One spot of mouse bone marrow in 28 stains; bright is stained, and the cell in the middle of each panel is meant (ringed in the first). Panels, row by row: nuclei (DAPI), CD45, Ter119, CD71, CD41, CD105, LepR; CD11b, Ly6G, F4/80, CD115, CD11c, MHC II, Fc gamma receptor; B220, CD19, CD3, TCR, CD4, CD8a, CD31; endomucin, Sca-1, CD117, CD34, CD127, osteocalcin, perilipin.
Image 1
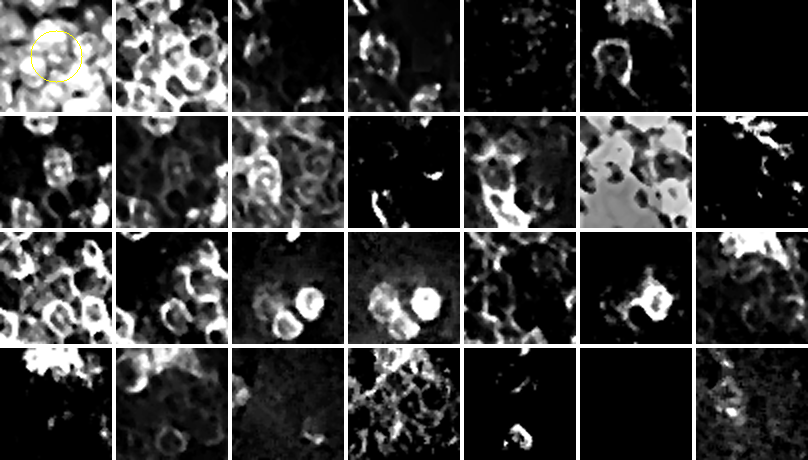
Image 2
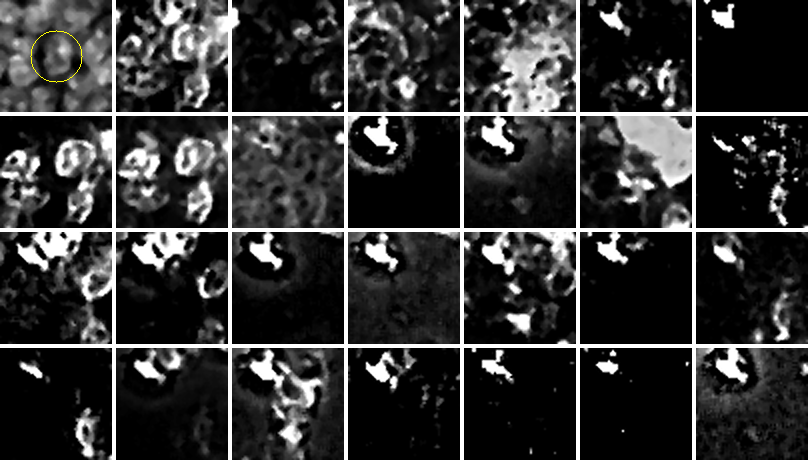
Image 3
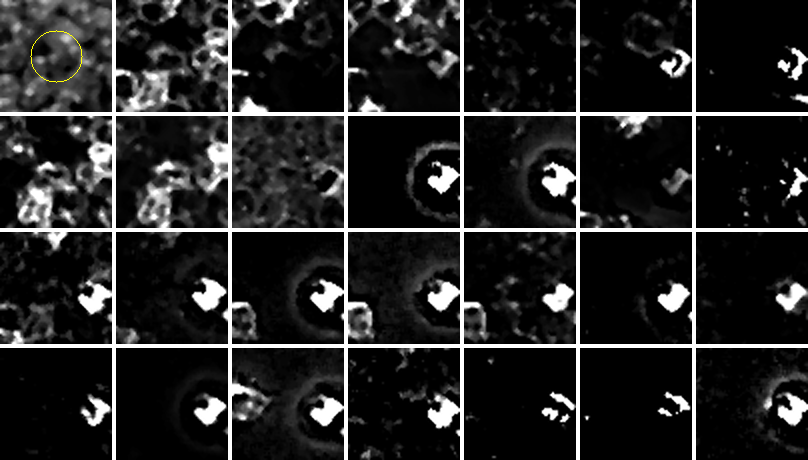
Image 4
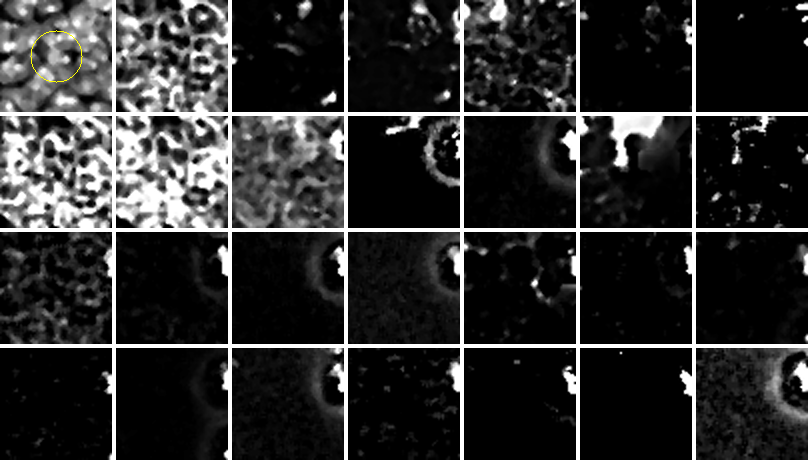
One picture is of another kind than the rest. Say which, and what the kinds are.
Picture 2 shows a megakaryocyte progenitor; the rest show neutrophils.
